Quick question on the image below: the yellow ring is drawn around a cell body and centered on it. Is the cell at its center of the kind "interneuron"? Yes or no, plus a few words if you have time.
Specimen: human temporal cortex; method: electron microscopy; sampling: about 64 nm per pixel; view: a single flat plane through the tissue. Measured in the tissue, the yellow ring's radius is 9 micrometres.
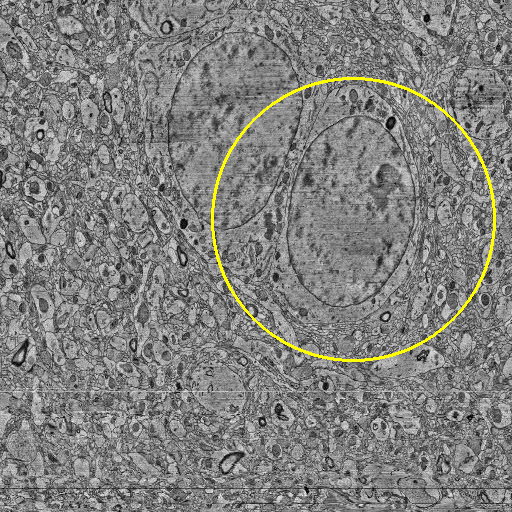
No, the cell at the center is of another kind.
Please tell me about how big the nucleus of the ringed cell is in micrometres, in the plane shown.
About 13 by 8 micrometres; in this plane the nucleus is clearly longer than it is wide.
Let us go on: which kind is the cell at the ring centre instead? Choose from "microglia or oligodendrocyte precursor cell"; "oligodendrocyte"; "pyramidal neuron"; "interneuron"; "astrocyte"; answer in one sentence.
It is a pyramidal neuron that the ring is centred on.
